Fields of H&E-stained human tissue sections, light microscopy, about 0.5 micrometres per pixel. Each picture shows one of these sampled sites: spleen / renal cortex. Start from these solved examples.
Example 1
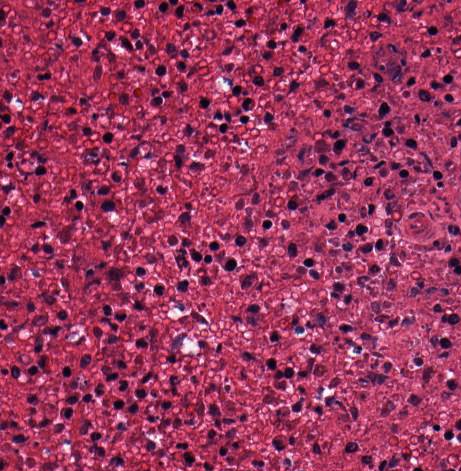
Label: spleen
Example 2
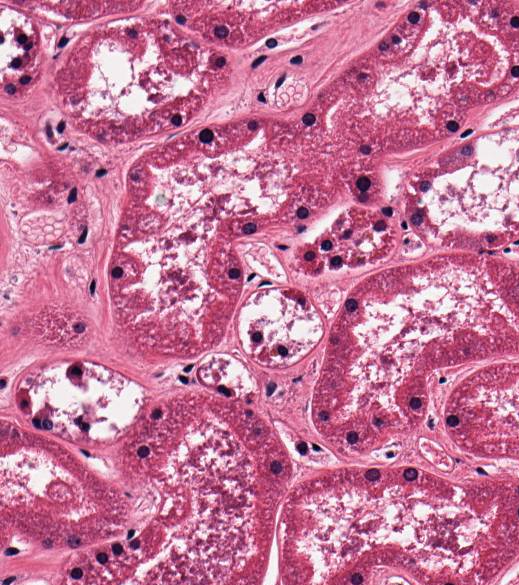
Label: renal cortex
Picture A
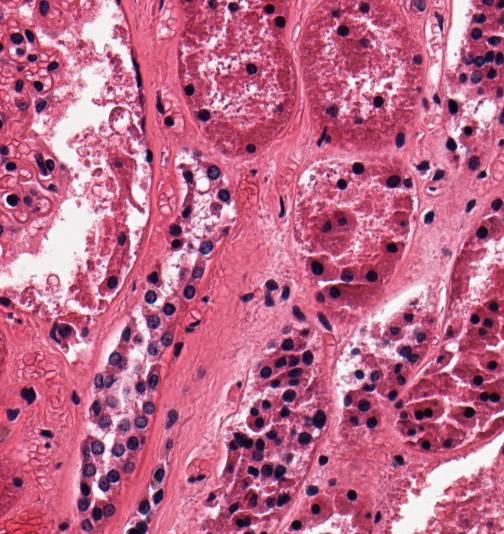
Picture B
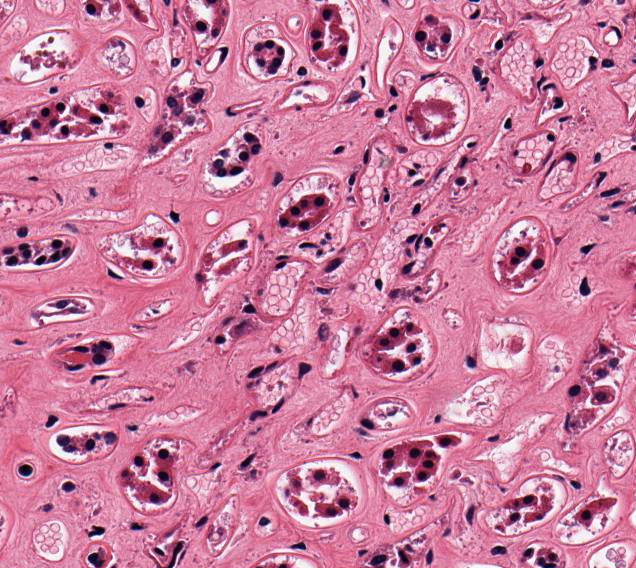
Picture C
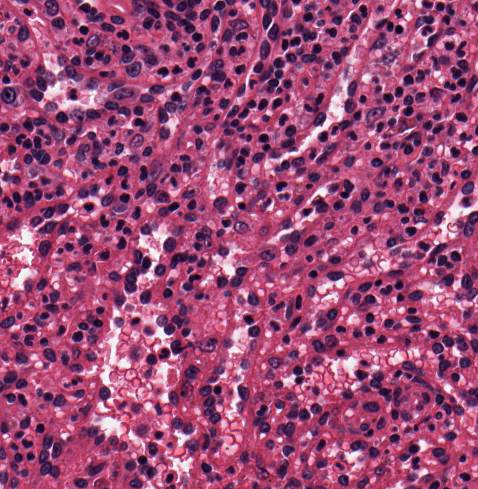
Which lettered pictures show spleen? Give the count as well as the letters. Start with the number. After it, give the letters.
Count: 1 (C)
